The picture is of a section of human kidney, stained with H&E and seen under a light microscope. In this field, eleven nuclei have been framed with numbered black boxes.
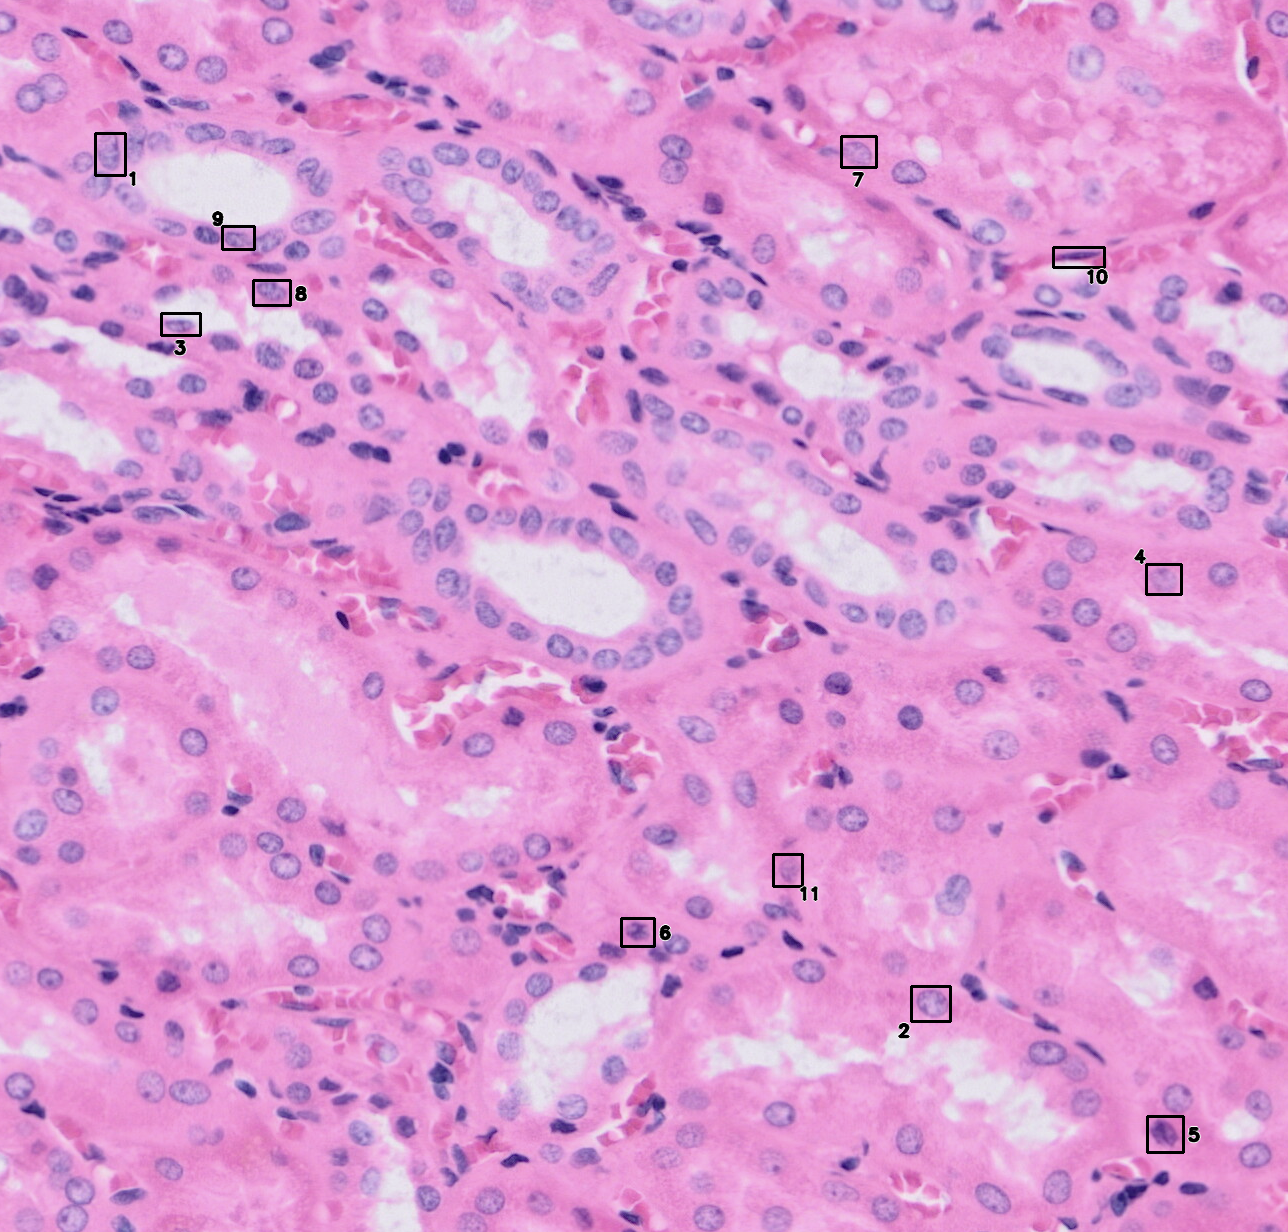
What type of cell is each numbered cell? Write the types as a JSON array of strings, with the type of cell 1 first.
["collecting duct cell", "proximal tubule cell", "loop of Henle or distal tubule cell", "proximal tubule cell", "proximal tubule cell", "loop of Henle or distal tubule cell", "proximal tubule cell", "loop of Henle or distal tubule cell", "collecting duct cell", "endothelial cell", "proximal tubule cell"]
